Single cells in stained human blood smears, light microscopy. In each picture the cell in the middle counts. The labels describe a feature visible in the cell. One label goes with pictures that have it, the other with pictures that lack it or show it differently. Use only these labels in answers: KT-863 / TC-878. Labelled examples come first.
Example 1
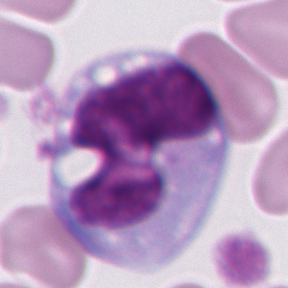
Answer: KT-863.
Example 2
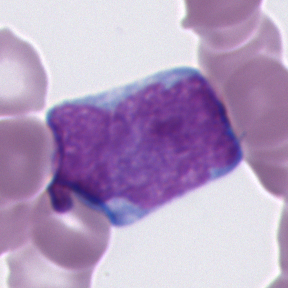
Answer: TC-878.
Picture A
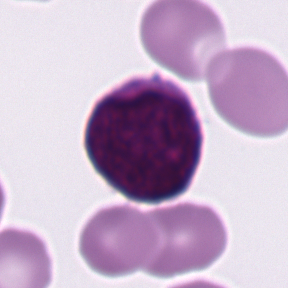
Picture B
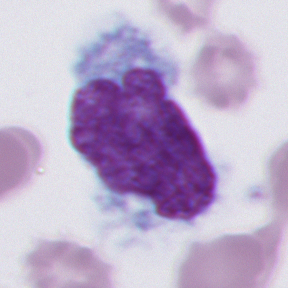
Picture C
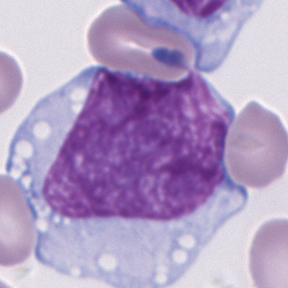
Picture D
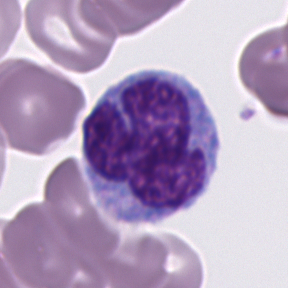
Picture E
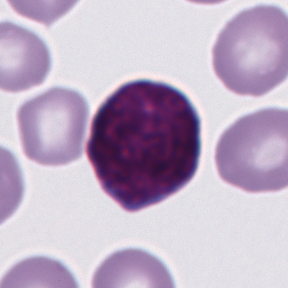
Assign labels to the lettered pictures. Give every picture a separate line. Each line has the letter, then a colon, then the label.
A: TC-878.
B: TC-878.
C: KT-863.
D: TC-878.
E: TC-878.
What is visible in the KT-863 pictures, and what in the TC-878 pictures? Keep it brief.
In KT-863: vacuoles present. In TC-878: no vacuoles.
